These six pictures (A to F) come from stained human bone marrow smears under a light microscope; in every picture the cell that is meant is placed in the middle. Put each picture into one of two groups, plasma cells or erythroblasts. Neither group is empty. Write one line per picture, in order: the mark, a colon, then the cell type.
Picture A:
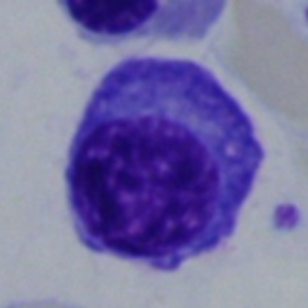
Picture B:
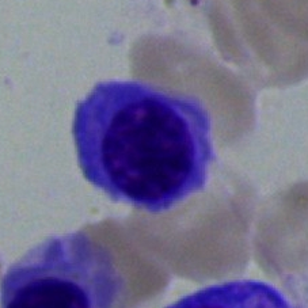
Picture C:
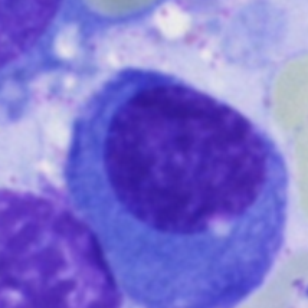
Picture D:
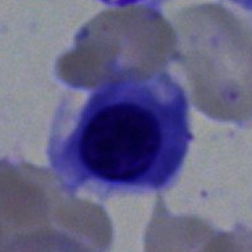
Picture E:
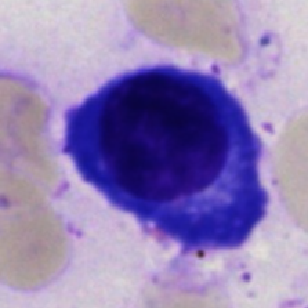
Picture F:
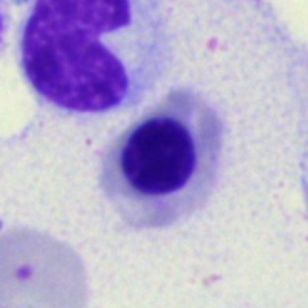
A: plasma cell
B: erythroblast
C: plasma cell
D: erythroblast
E: plasma cell
F: erythroblast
